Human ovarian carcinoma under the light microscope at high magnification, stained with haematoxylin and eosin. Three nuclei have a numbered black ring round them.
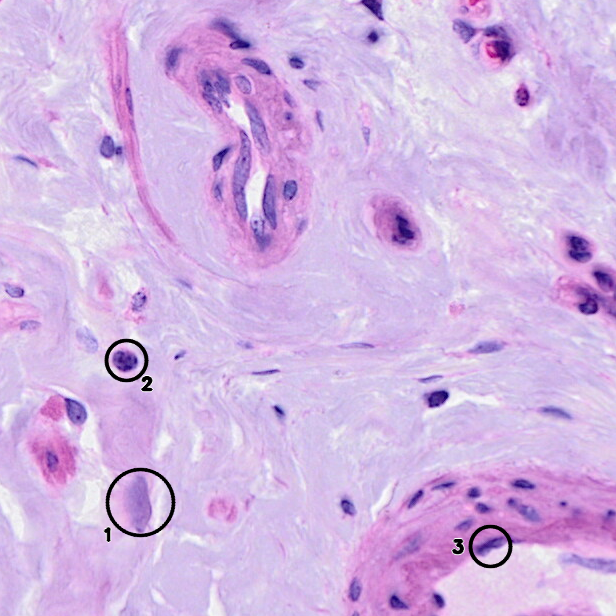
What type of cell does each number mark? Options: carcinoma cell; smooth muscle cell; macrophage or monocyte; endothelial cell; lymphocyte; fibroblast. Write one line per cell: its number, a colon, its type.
1: fibroblast
2: lymphocyte
3: endothelial cell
